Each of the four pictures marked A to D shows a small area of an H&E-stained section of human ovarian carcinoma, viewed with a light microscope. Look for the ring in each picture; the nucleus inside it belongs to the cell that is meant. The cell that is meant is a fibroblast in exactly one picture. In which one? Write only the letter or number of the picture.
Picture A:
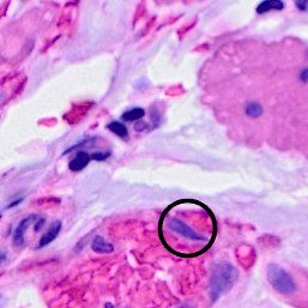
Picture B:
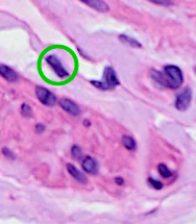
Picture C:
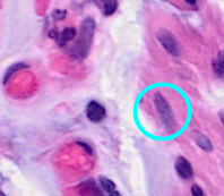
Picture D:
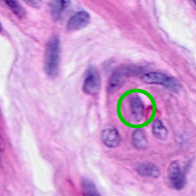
B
